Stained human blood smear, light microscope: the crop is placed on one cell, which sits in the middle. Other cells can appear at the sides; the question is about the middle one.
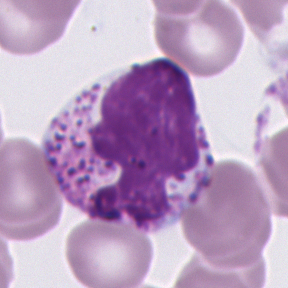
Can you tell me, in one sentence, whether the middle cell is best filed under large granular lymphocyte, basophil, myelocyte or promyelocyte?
The cell featured at the centre of this crop is a basophil.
